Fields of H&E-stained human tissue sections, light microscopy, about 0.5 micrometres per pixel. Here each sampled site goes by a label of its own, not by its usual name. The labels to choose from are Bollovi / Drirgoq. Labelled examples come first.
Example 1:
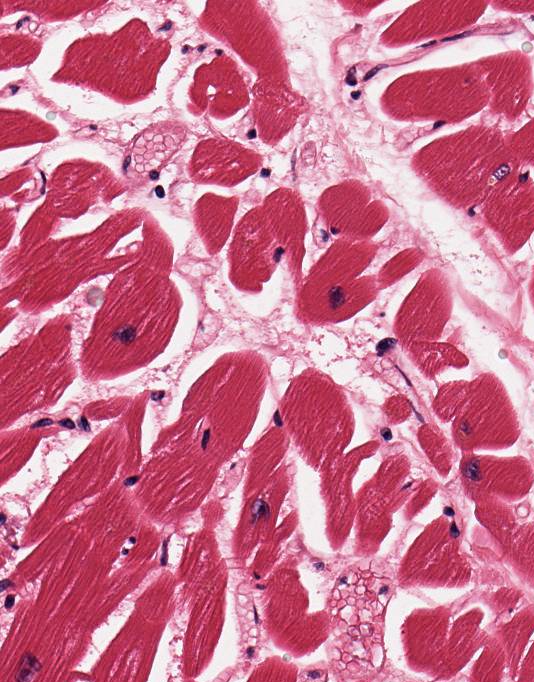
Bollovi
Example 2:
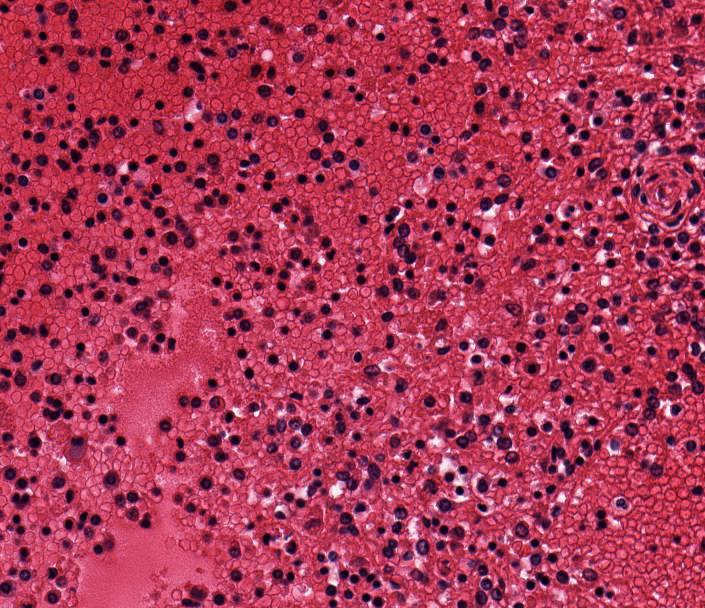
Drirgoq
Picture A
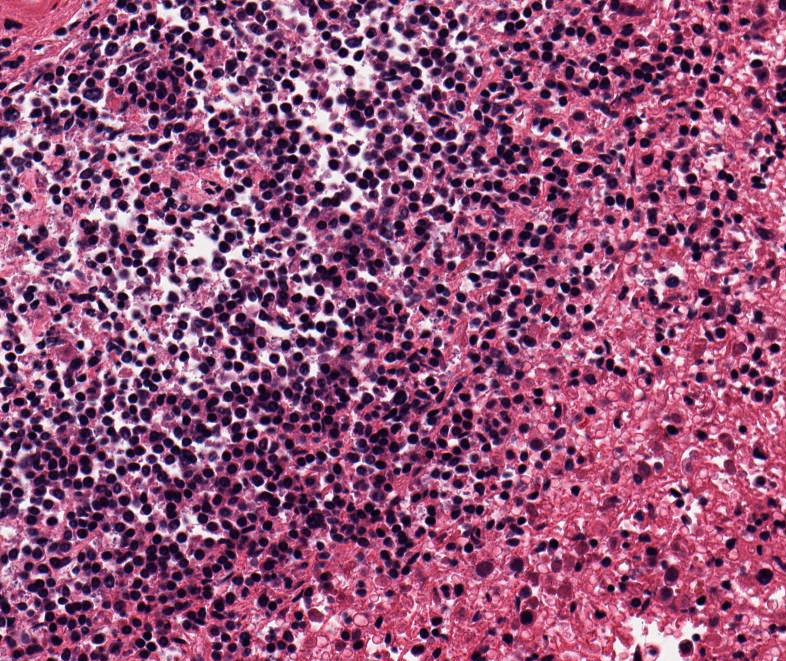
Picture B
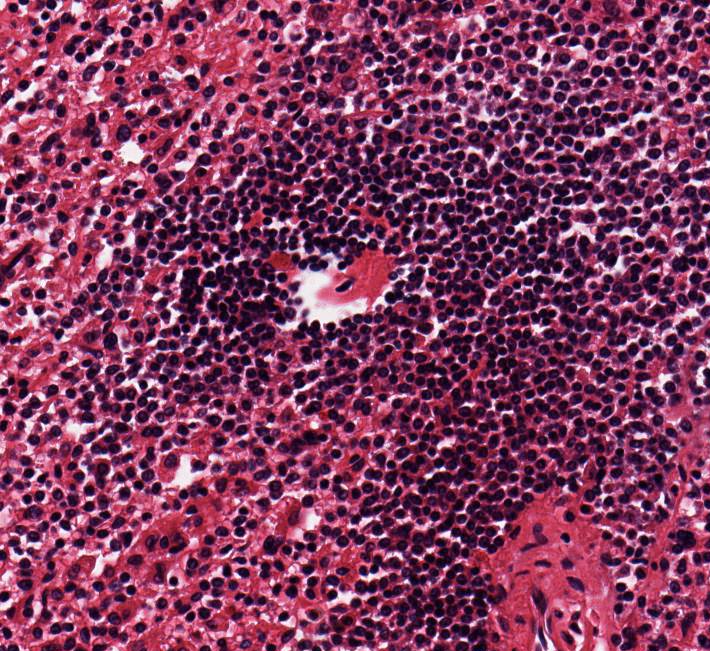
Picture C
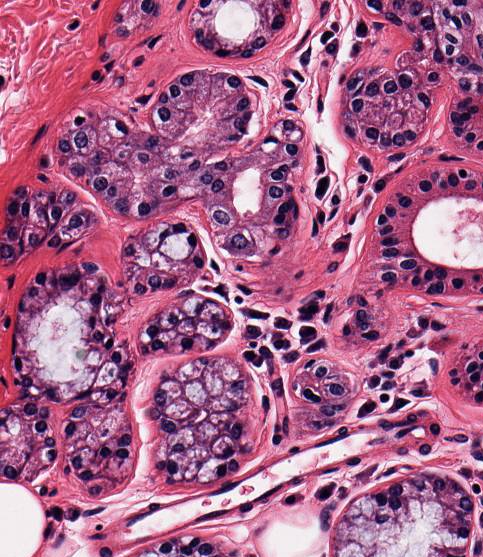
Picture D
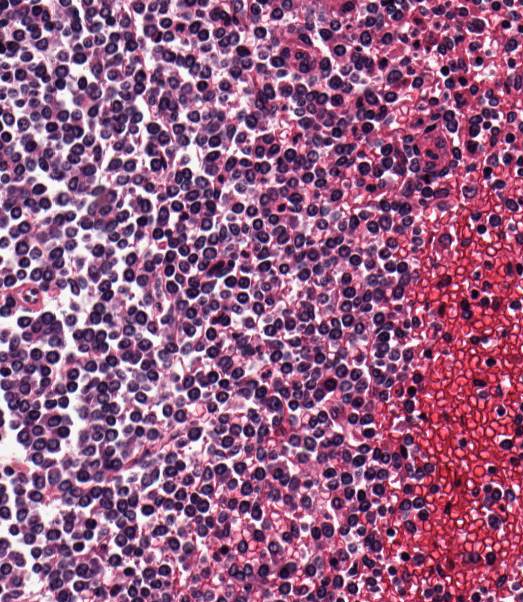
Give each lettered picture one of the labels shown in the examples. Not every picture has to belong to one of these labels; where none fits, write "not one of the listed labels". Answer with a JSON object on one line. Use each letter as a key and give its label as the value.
{"A": "Drirgoq", "B": "Drirgoq", "C": "not one of the listed labels", "D": "Drirgoq"}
